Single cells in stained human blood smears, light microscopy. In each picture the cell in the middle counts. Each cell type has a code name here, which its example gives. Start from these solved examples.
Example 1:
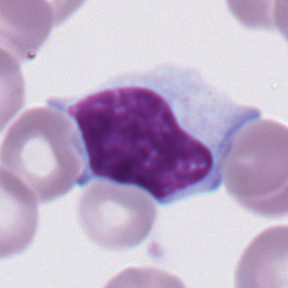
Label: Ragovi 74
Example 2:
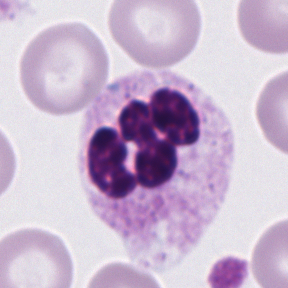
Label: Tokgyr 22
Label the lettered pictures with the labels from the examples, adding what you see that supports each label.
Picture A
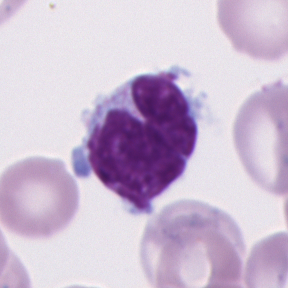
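Answer: Ragovi 74. The cytoplasm is a scant pale lilac rim, widest at the upper left of the cell.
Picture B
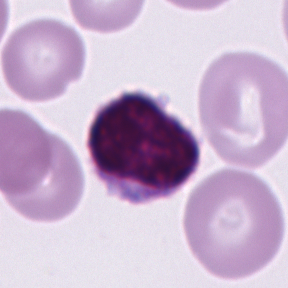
Answer: Ragovi 74. A narrow crescent of pale lilac-blue cytoplasm shows mainly along the lower edge.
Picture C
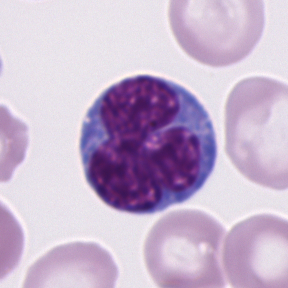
Answer: Ragovi 74. The cytoplasm forms a narrow rim that is widest at the upper right.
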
